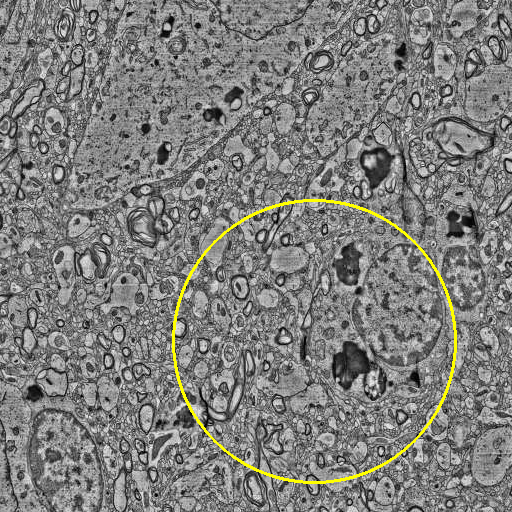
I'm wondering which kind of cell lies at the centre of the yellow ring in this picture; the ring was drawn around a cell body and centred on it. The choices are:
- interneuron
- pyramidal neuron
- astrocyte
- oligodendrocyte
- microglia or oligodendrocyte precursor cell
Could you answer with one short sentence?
At the centre of the ring lies an oligodendrocyte.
